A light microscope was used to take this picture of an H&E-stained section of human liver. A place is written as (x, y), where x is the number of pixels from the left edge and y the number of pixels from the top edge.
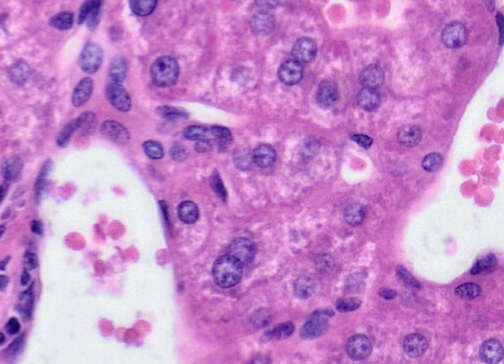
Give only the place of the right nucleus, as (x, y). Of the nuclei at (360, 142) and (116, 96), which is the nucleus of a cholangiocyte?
(116, 96)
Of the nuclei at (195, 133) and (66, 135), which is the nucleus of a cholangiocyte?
(195, 133)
